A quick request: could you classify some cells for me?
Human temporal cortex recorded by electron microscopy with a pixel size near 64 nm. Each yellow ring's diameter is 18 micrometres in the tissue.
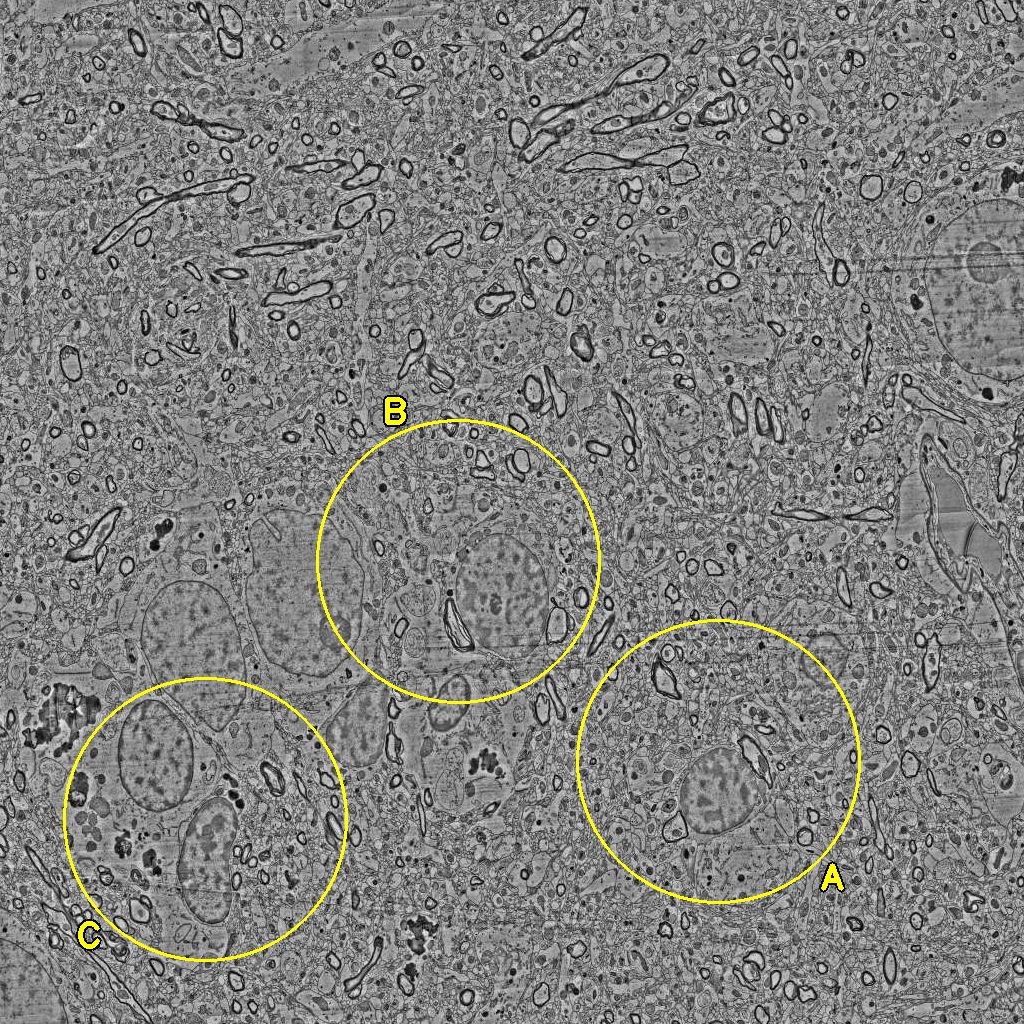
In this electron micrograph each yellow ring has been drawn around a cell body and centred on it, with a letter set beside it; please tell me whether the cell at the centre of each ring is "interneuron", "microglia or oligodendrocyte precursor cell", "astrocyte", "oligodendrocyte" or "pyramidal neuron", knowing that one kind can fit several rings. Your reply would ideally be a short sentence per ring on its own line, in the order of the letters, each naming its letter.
Ring A has an oligodendrocyte at its centre.
Ring B has a pyramidal neuron at its centre.
Ring C has a microglial cell or oligodendrocyte precursor cell at its centre.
